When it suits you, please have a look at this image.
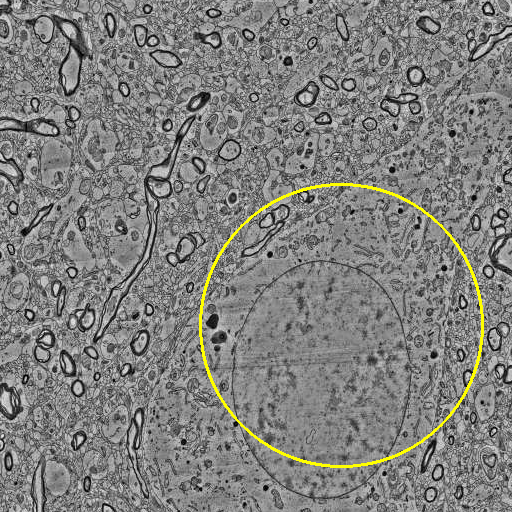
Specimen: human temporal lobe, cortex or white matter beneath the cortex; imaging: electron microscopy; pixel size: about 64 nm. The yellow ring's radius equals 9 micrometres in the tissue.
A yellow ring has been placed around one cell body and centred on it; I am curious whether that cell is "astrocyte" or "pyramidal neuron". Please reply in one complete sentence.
The ringed cell, a pyramidal neuron, has its body at the centre of the yellow ring.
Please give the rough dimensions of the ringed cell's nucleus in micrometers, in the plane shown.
In this plane, roughly 15 by 12 micrometres.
